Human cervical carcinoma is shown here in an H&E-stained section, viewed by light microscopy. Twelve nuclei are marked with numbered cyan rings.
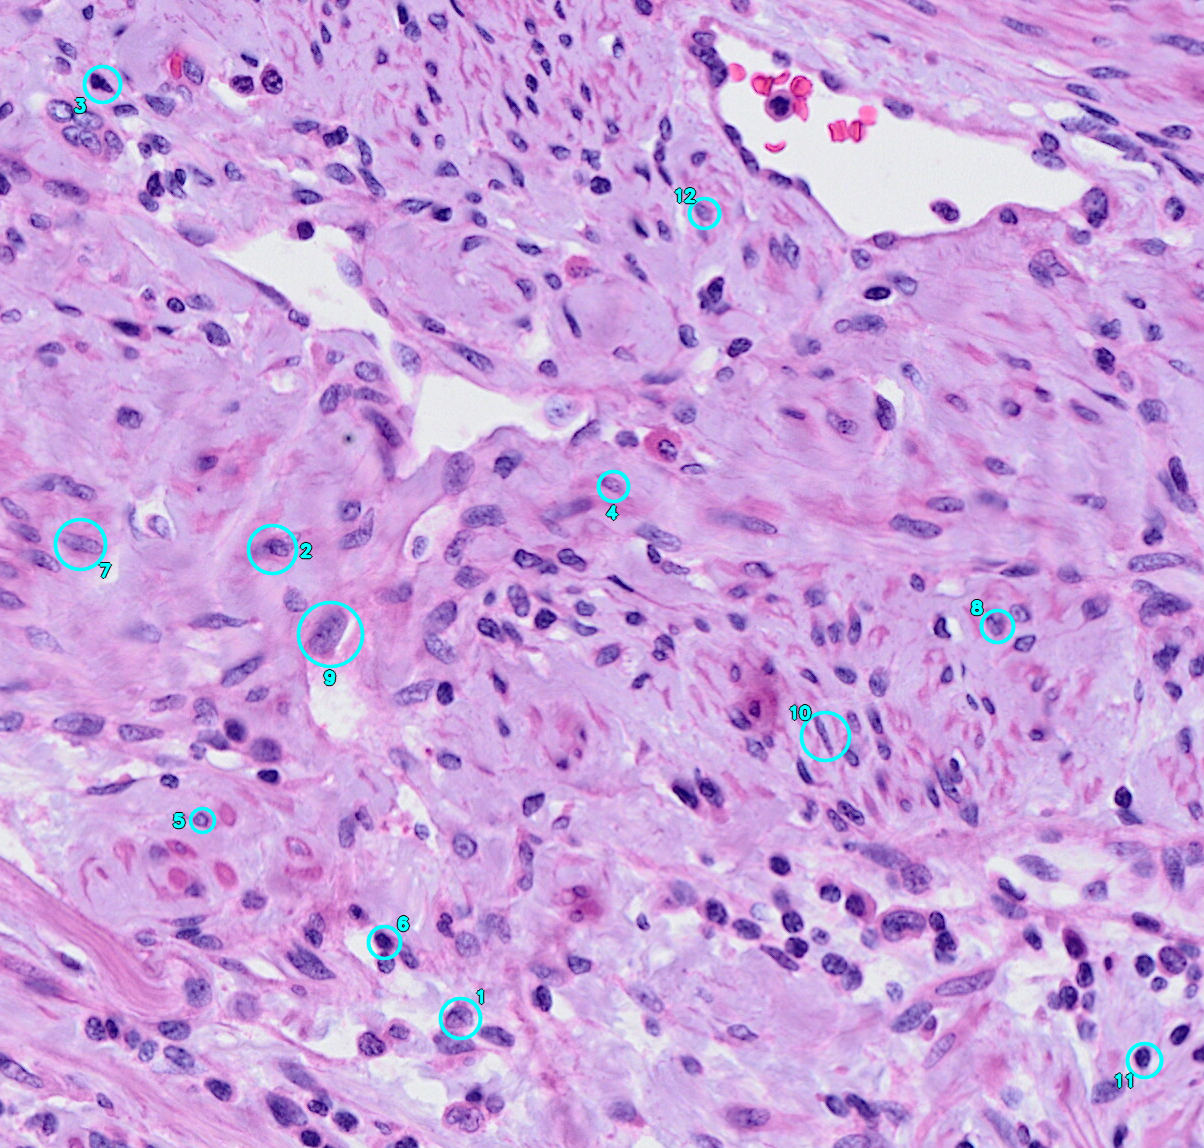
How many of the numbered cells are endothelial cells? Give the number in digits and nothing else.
1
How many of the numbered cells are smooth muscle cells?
7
